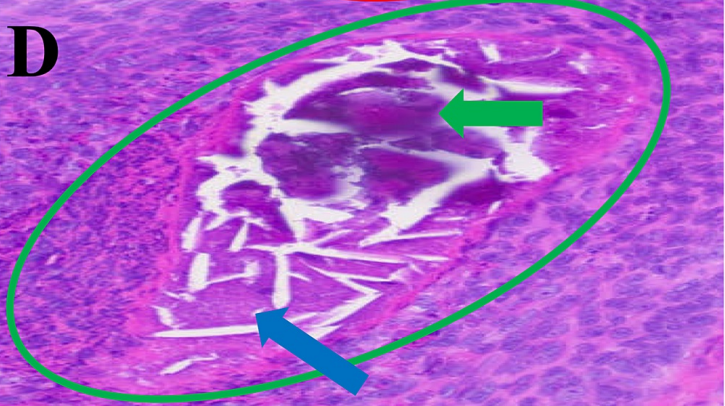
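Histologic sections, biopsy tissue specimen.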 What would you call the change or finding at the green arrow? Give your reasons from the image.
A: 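The arrow points to dark purple, homogeneous, fractured fragments. The fragments sit in the centre of a nest of crowded dark cells. On this evidence: calcification.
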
